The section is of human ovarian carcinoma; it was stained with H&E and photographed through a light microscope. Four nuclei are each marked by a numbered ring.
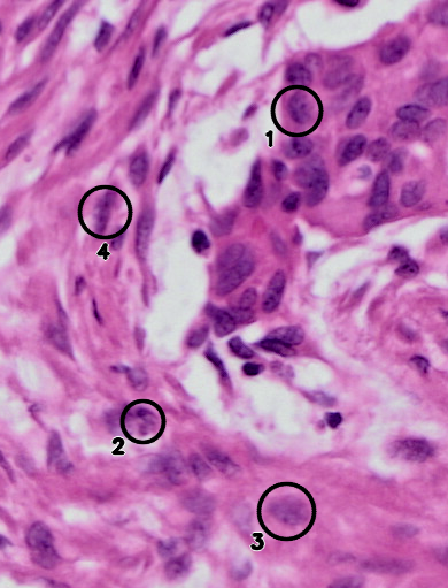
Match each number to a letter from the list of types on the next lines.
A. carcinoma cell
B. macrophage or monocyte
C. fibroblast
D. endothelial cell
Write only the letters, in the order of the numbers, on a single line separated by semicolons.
A; C; C; C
